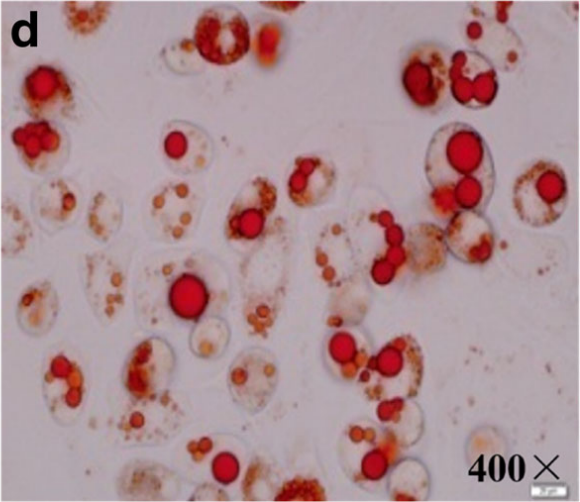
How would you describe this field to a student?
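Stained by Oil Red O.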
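Rounded adipocytes lie scattered on a pale background, their cytoplasm filled with lipid droplets stained red. Many cells carry one or a few large, bright red droplets that take up much of the cell, while others hold many small orange-red droplets. The cell outlines are thin and pale, and the space between cells is largely unstained.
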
